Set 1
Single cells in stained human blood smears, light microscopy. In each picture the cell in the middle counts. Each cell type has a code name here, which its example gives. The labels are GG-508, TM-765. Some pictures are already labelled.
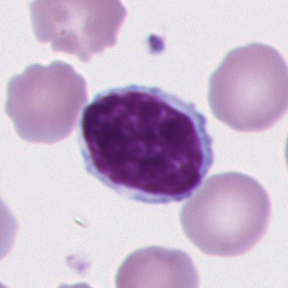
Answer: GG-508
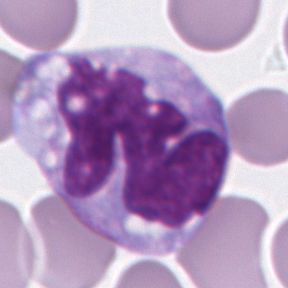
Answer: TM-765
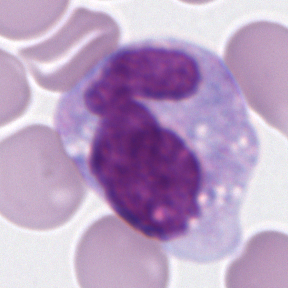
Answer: TM-765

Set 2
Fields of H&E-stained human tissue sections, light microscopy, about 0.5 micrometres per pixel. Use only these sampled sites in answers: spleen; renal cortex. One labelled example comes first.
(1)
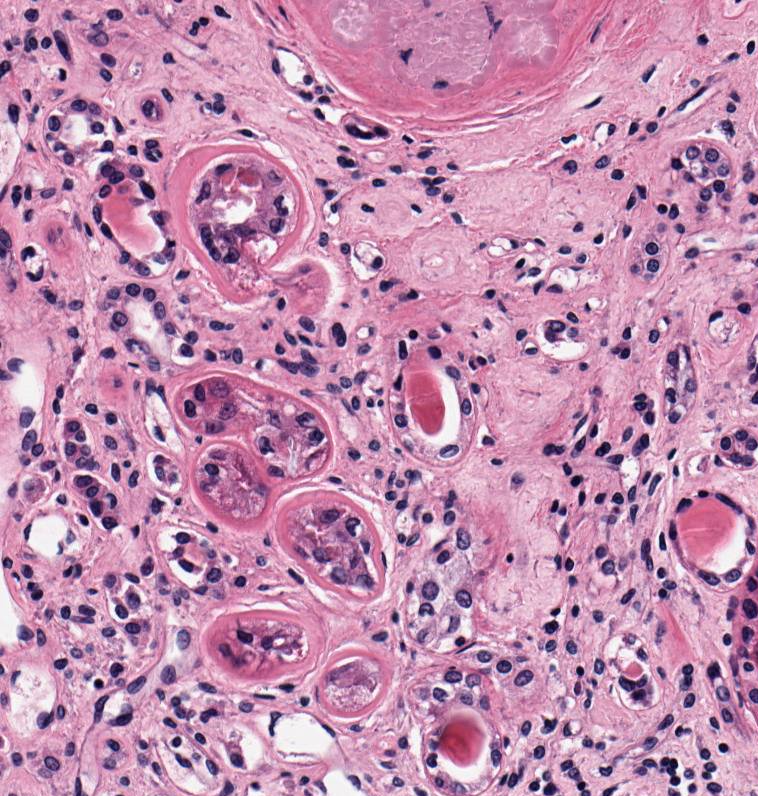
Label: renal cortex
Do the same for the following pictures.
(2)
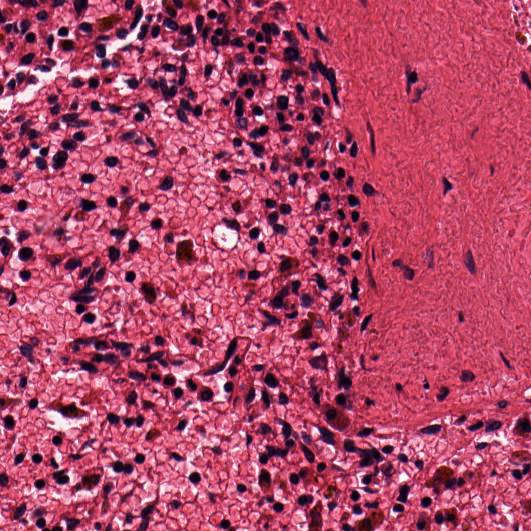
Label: spleen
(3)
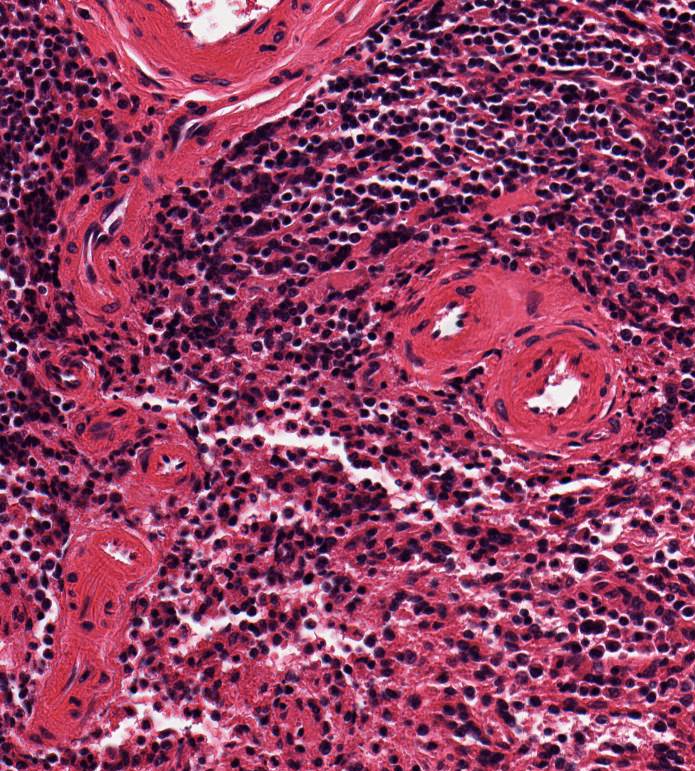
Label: spleen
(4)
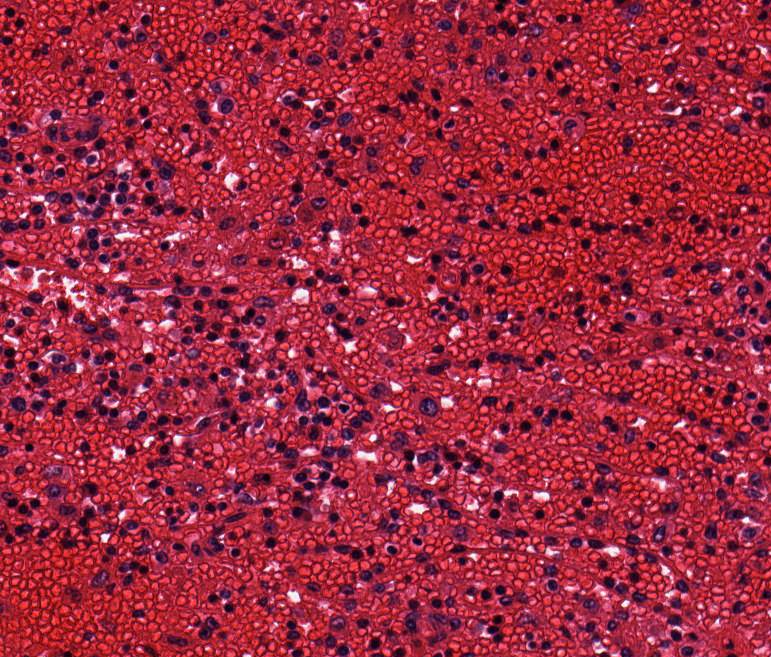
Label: spleen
